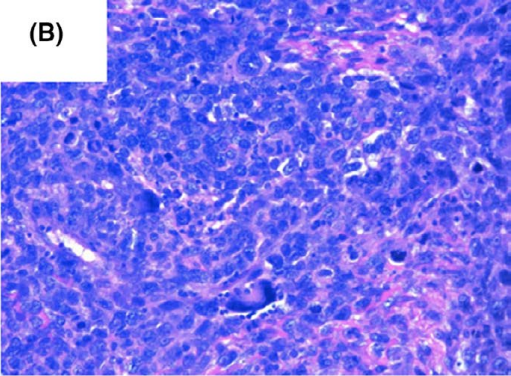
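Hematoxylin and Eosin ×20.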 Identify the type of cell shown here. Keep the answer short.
highly pleomorphic, large tumor cells with marked atypia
